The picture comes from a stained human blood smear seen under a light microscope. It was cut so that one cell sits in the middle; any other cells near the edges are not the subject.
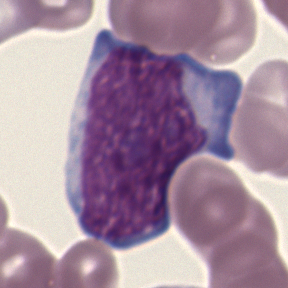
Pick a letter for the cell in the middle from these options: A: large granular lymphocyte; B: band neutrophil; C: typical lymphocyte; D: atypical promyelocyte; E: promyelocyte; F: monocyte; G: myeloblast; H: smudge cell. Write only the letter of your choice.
G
